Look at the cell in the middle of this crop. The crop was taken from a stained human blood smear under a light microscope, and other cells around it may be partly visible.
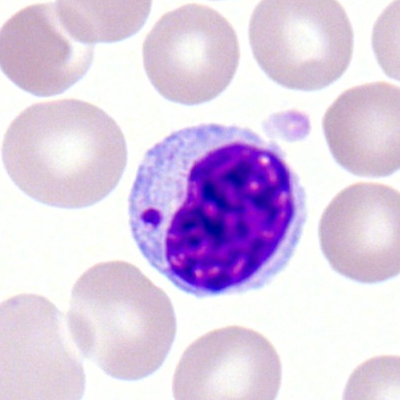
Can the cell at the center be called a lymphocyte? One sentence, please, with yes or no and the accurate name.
Yes, the cell centred in the field of view is a lymphocyte.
